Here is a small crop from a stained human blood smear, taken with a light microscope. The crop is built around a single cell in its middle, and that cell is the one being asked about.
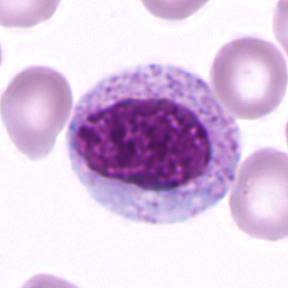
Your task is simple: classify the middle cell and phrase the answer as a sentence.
Of the cells in this crop, the central one is a metamyelocyte.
